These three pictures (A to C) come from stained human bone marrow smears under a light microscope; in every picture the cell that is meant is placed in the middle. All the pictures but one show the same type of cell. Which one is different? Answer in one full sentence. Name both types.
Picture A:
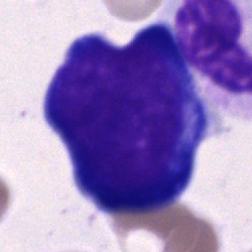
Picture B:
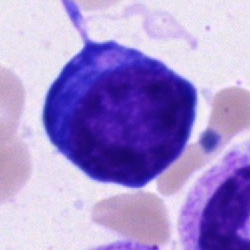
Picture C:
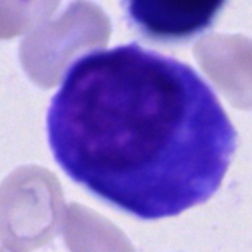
The different one is picture C; it shows a plasma cell, whereas all the others show proerythroblasts.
